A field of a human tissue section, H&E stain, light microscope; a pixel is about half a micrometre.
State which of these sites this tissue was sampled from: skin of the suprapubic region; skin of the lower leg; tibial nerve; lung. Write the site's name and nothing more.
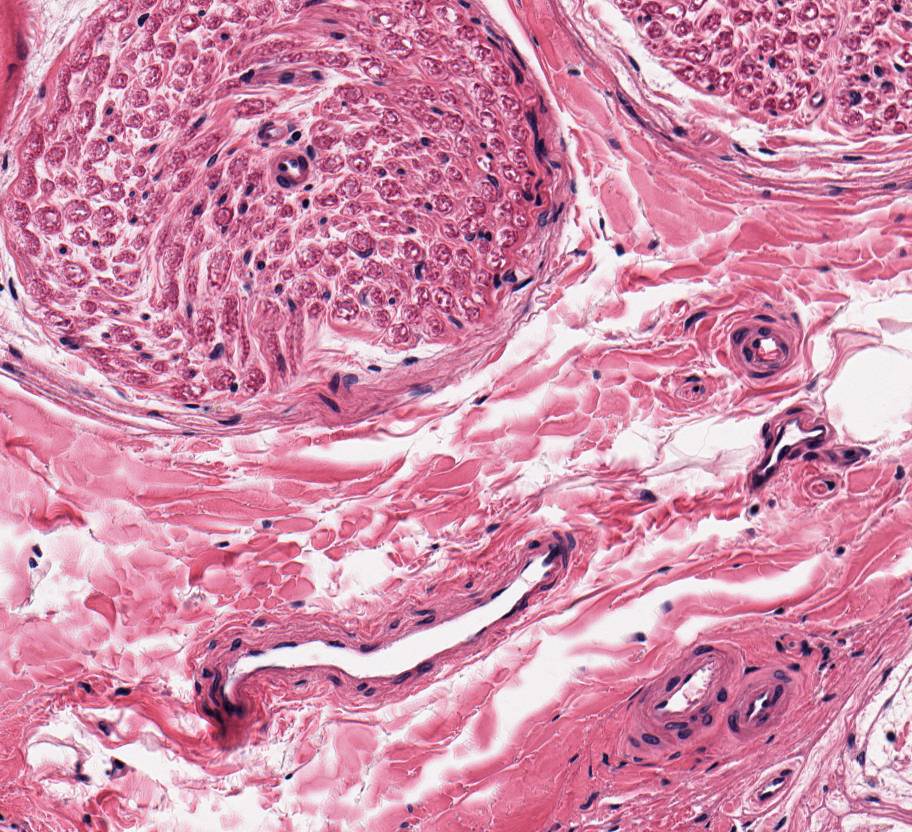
tibial nerve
